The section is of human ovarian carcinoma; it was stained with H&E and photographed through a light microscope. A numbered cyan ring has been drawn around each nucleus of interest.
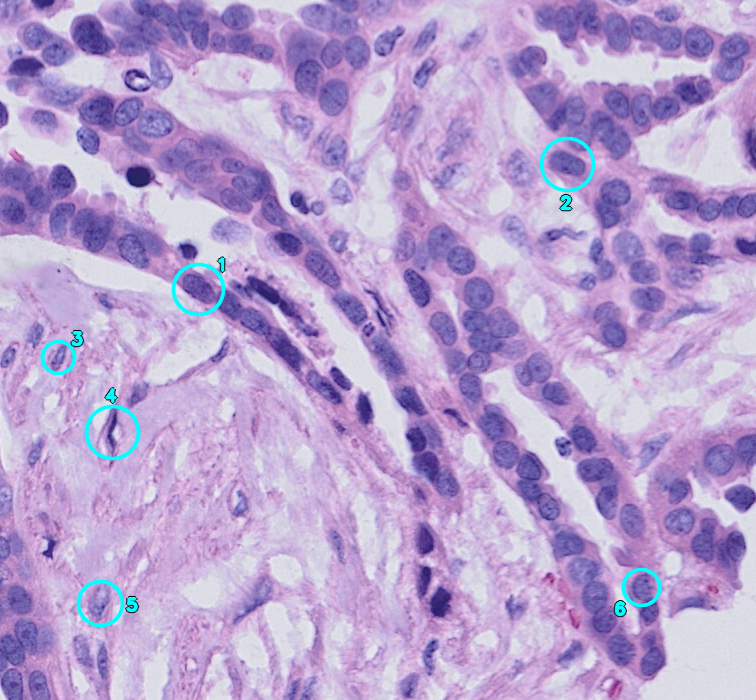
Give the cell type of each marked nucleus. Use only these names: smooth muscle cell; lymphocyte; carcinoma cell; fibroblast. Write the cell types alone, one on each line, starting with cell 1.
carcinoma cell
carcinoma cell
fibroblast
fibroblast
fibroblast
carcinoma cell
